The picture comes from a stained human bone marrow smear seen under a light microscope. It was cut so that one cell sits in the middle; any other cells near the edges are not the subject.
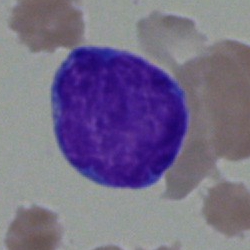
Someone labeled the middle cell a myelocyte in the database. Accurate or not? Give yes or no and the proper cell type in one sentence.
No, calling it a myelocyte is wrong; the middle cell is a blast.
